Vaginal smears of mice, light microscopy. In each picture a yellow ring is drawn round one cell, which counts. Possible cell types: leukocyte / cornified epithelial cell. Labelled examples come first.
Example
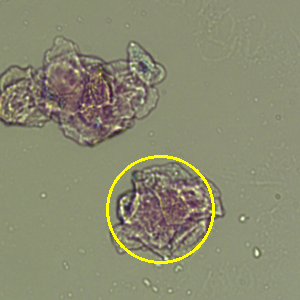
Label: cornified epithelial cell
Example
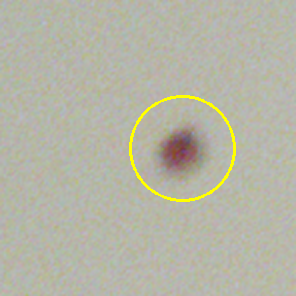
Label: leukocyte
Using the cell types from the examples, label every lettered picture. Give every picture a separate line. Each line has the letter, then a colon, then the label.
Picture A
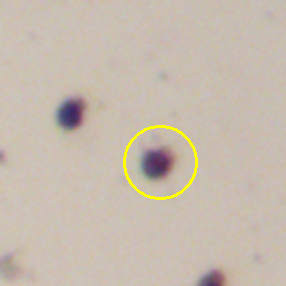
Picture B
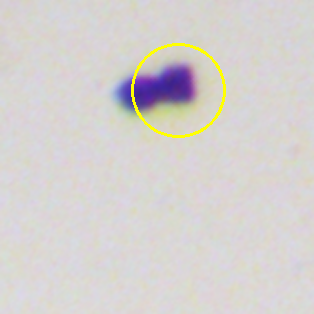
A: leukocyte
B: leukocyte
